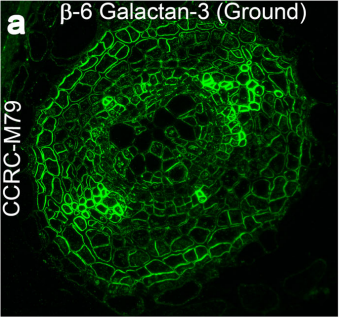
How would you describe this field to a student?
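This is a cross-section of a root in which the cell walls are outlined in green fluorescence. The central region holds small, tightly packed cells, with a few dark, larger openings among them. Several small groups of cells in a ring around the centre show brighter, thicker green walls. The cell interiors are dark throughout.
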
